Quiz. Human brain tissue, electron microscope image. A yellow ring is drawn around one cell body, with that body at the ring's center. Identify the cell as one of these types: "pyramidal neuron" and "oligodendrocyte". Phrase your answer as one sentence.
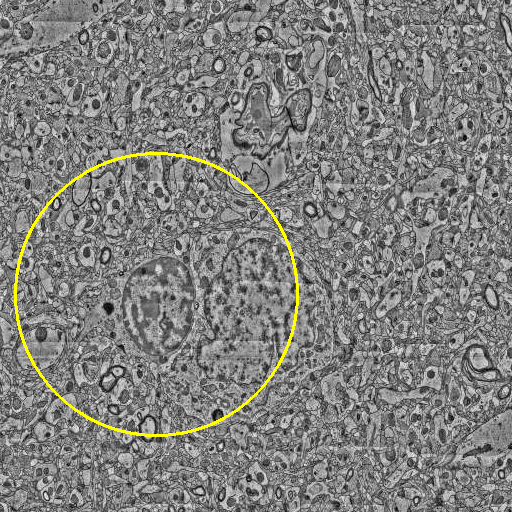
At the center of the ring sits an oligodendrocyte.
